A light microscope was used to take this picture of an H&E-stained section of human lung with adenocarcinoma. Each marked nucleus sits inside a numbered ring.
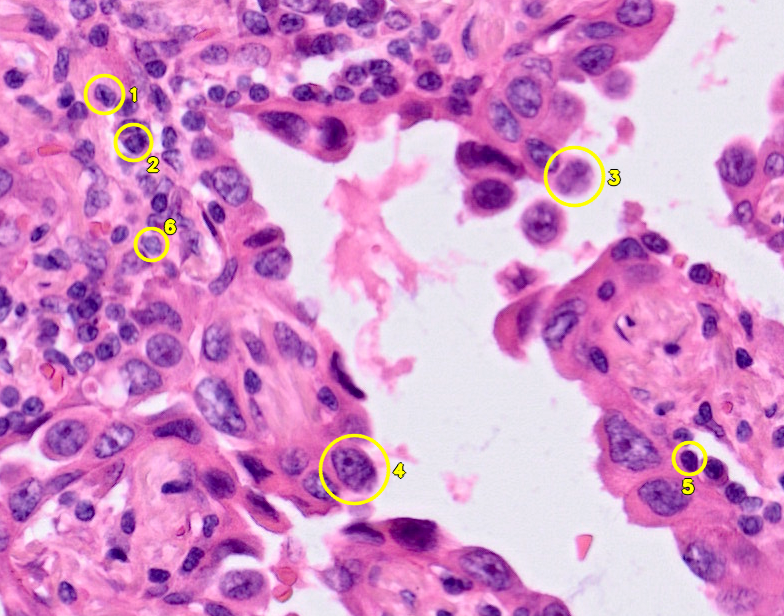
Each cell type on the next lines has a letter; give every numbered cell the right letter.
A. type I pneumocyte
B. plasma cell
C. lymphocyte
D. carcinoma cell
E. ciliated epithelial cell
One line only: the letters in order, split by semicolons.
C; C; D; D; C; C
